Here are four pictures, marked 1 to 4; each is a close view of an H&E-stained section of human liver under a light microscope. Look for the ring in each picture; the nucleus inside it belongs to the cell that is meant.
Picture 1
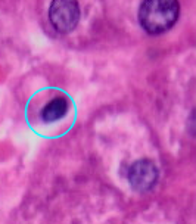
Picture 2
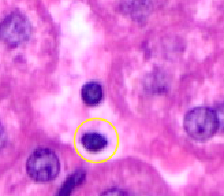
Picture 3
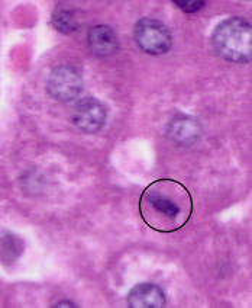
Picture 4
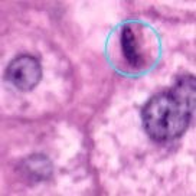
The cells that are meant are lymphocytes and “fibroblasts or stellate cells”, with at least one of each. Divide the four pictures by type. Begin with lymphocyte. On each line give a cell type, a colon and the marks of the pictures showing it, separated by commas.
lymphocyte: 1, 2
fibroblast or stellate cell: 3, 4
